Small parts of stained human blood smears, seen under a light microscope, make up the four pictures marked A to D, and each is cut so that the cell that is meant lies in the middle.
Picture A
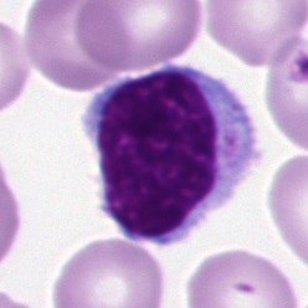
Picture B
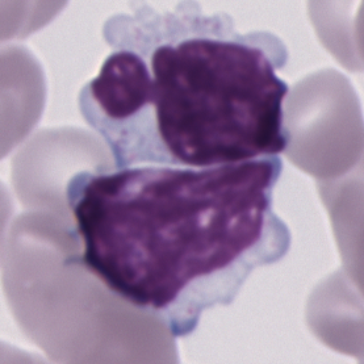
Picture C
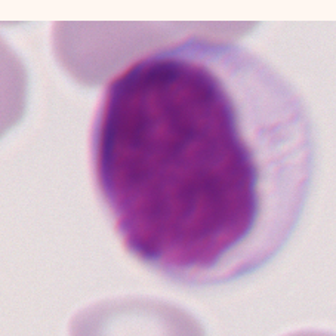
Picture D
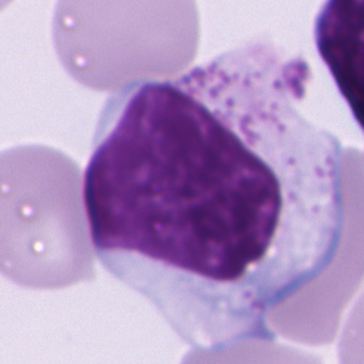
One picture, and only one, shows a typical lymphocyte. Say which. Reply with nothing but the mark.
A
